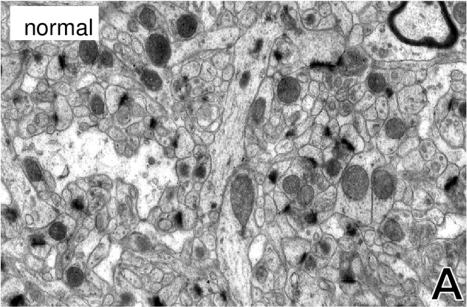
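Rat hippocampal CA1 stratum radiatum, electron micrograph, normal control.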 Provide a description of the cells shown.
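Many small round profiles contain mitochondria and vesicles, and short dark thickenings mark synaptic contacts between them. A pale longitudinally cut dendrite runs through the middle, and a single dark-ringed myelinated axon lies at the top right.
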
